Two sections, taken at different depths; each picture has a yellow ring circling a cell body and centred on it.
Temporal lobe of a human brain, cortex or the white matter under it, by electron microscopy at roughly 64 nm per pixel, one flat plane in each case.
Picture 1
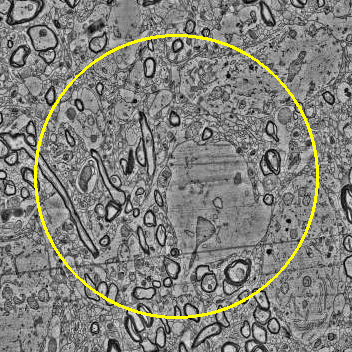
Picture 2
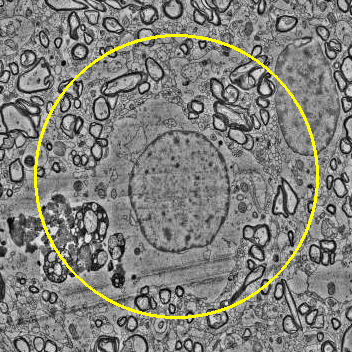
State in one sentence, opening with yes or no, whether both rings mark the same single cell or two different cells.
No, the two yellow rings surround two different cells.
